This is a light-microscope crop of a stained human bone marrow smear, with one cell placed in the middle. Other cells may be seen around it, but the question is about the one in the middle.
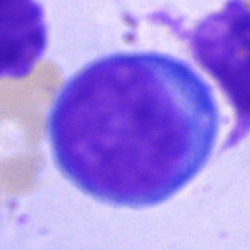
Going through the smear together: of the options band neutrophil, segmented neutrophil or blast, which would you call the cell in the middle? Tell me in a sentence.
The cell the crop is centered on is a blast.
